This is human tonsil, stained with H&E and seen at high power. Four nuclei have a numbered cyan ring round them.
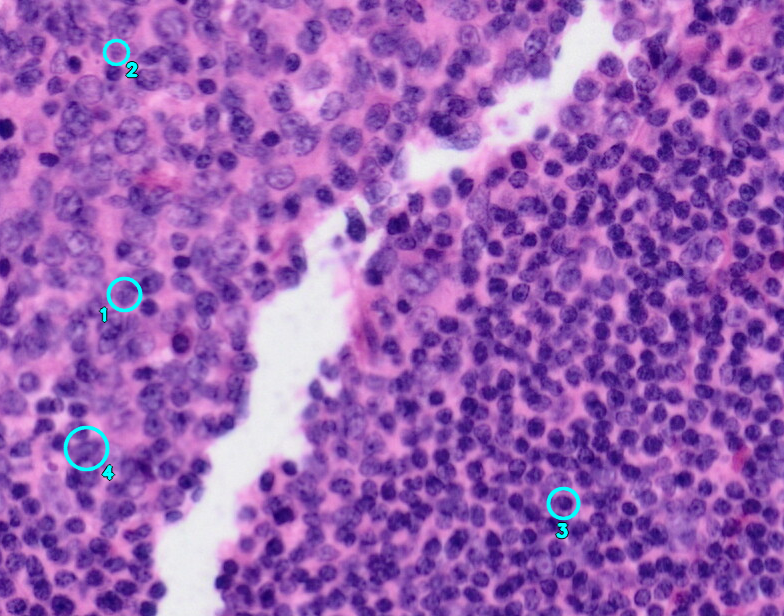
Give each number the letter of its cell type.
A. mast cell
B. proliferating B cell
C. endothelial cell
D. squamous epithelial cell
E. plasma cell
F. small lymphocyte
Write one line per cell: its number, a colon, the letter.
1: B
2: B
3: F
4: B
